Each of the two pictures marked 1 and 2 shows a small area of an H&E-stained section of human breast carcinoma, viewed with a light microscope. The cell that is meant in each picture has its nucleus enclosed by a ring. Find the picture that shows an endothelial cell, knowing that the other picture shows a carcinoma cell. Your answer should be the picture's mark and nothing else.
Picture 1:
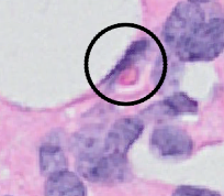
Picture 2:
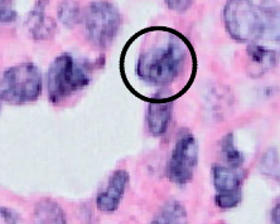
1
